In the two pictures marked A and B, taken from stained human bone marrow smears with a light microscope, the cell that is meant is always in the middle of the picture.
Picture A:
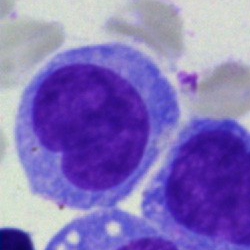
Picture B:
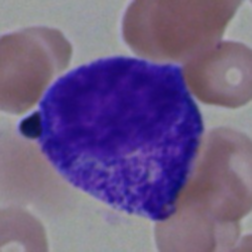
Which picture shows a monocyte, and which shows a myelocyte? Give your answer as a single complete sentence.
Picture A shows a monocyte and picture B shows a myelocyte.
